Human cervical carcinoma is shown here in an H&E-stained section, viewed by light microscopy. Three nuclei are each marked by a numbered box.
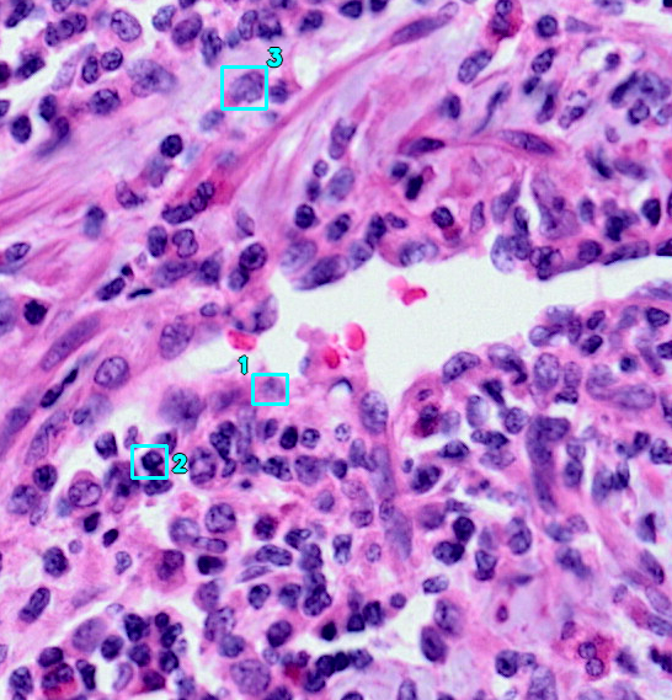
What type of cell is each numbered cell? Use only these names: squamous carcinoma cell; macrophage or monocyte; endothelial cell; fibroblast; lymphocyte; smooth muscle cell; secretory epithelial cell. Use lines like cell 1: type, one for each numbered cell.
cell 1: endothelial cell
cell 2: lymphocyte
cell 3: macrophage or monocyte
